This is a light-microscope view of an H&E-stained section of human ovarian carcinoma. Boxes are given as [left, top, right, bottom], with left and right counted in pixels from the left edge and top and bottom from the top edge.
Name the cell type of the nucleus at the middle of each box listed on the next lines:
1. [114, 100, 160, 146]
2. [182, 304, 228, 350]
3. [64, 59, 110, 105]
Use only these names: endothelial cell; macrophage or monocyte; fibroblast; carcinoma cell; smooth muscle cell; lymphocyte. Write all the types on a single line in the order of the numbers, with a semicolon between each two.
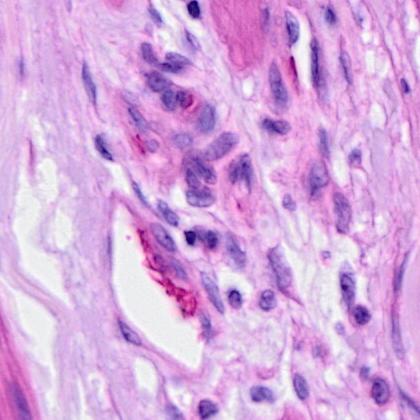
endothelial cell; endothelial cell; fibroblast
